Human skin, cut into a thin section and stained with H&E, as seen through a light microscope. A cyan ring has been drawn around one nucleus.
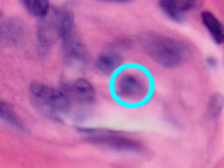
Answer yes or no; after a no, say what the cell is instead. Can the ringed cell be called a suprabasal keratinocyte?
No, it is an endothelial cell.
